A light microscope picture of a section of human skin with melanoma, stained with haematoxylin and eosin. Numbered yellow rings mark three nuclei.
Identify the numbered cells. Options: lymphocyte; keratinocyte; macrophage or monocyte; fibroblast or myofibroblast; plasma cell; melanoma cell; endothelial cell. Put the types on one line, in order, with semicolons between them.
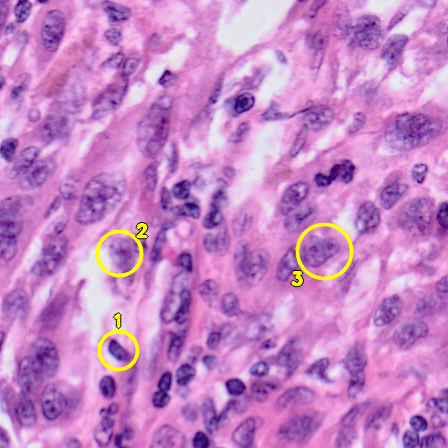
lymphocyte; melanoma cell; melanoma cell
